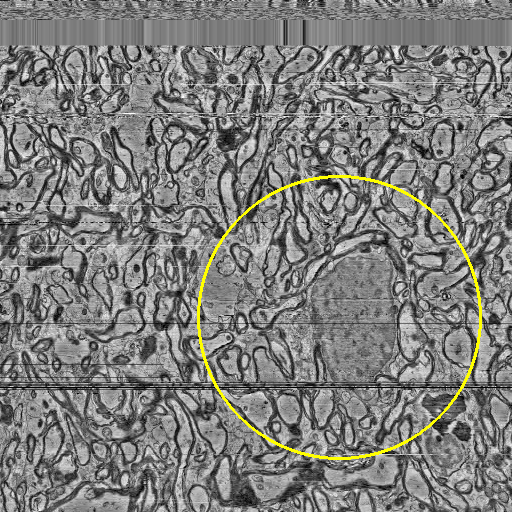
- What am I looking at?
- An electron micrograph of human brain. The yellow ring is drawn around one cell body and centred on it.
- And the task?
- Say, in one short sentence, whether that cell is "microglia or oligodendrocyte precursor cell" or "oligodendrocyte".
The cell in the middle of the ring is an oligodendrocyte.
